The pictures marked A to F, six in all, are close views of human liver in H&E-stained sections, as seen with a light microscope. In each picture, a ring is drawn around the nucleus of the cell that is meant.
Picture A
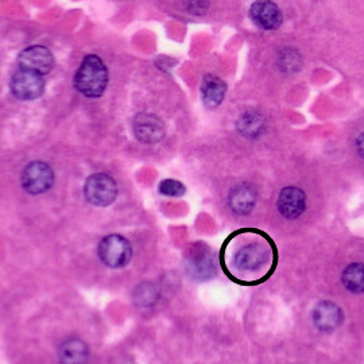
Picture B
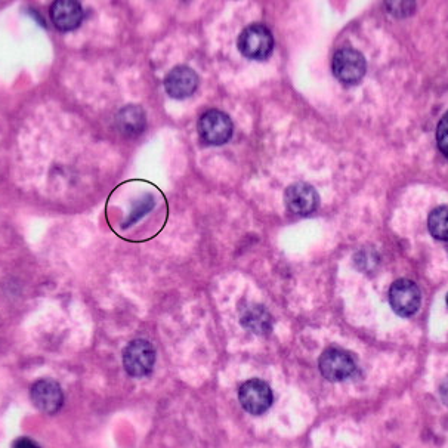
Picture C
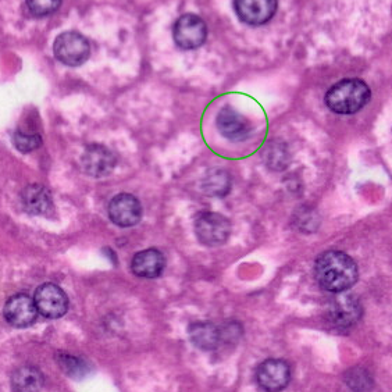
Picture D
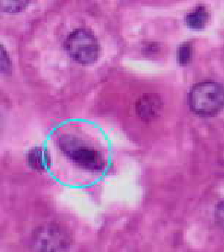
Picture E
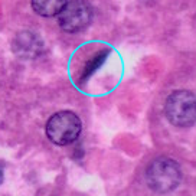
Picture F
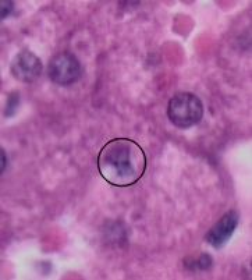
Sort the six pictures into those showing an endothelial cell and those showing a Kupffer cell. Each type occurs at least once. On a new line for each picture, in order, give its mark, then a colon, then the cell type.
A: Kupffer cell
B: endothelial cell
C: endothelial cell
D: Kupffer cell
E: endothelial cell
F: endothelial cell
